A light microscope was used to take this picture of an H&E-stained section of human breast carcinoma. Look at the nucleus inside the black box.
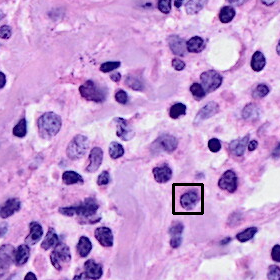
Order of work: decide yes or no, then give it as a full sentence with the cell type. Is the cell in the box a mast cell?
Yes, the cell in the box represents a mast cell in this tissue.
